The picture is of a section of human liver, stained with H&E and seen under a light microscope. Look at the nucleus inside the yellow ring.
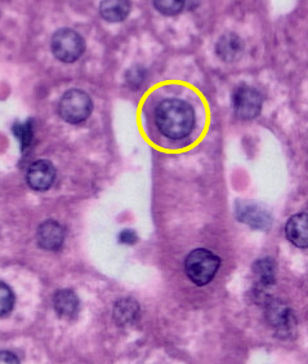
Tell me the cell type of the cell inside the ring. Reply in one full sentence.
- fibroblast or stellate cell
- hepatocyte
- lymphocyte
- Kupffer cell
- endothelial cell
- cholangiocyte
Histopathologically, the cell inside the ring is a hepatocyte.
